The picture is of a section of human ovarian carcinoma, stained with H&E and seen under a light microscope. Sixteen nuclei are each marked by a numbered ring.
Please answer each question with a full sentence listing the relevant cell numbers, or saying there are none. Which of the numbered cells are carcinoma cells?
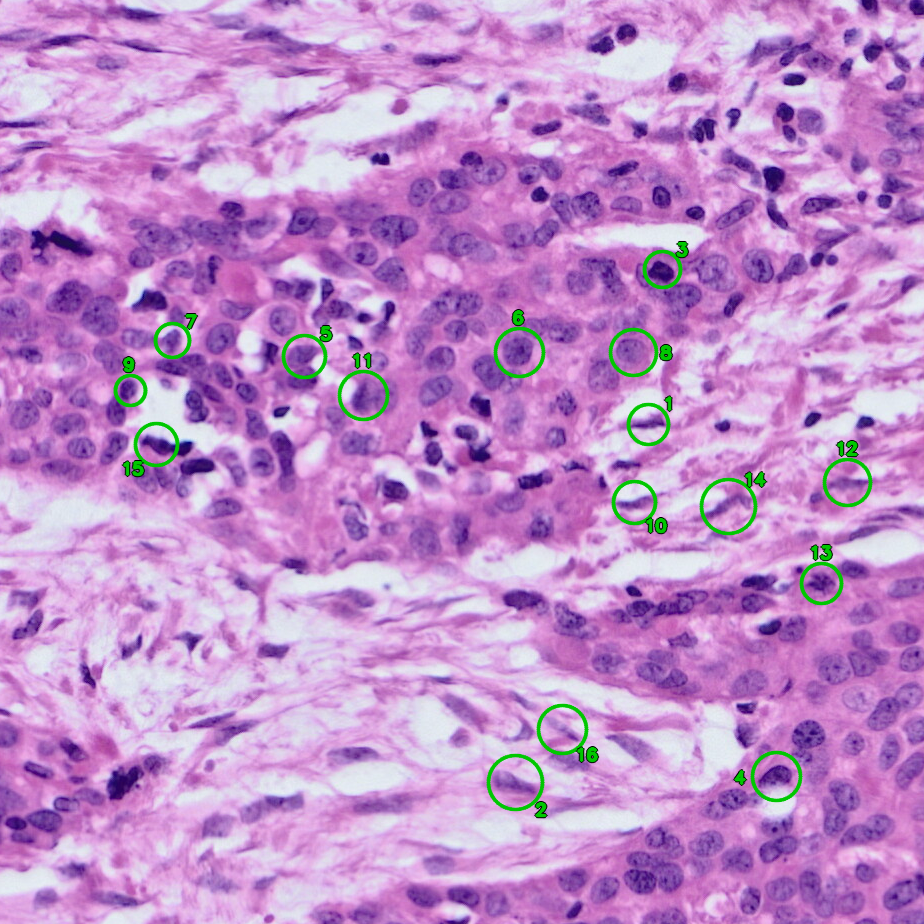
The cells tagged 3, 4, 5, 6, 7, 8, 9, 11 and 15 are carcinoma cells in this tissue section.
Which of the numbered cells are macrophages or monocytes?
The cell bearing the number 13 is a macrophage or monocyte, unlike the rest of the numbered cells.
